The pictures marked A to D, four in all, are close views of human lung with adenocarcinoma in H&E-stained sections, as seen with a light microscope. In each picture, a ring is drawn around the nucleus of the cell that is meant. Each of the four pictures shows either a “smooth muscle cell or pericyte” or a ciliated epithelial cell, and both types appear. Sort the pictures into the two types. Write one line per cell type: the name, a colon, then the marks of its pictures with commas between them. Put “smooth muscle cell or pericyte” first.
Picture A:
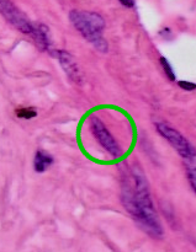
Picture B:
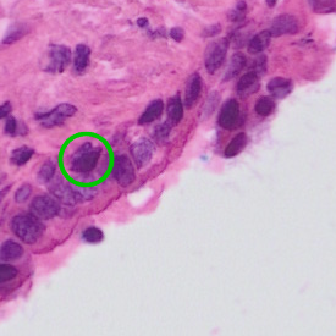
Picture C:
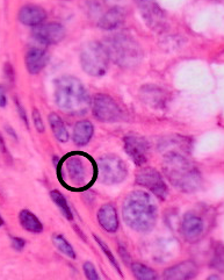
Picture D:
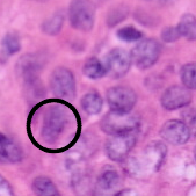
smooth muscle cell or pericyte: A
ciliated epithelial cell: B, C, D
